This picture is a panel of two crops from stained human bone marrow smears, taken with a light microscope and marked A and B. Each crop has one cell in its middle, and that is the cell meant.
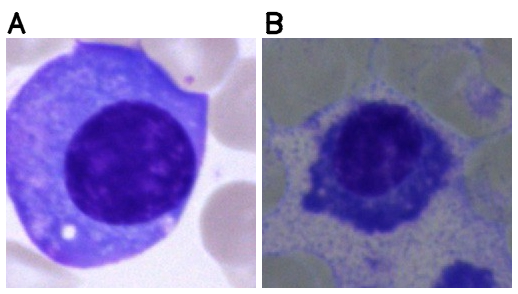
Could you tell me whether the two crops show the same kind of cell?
yes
